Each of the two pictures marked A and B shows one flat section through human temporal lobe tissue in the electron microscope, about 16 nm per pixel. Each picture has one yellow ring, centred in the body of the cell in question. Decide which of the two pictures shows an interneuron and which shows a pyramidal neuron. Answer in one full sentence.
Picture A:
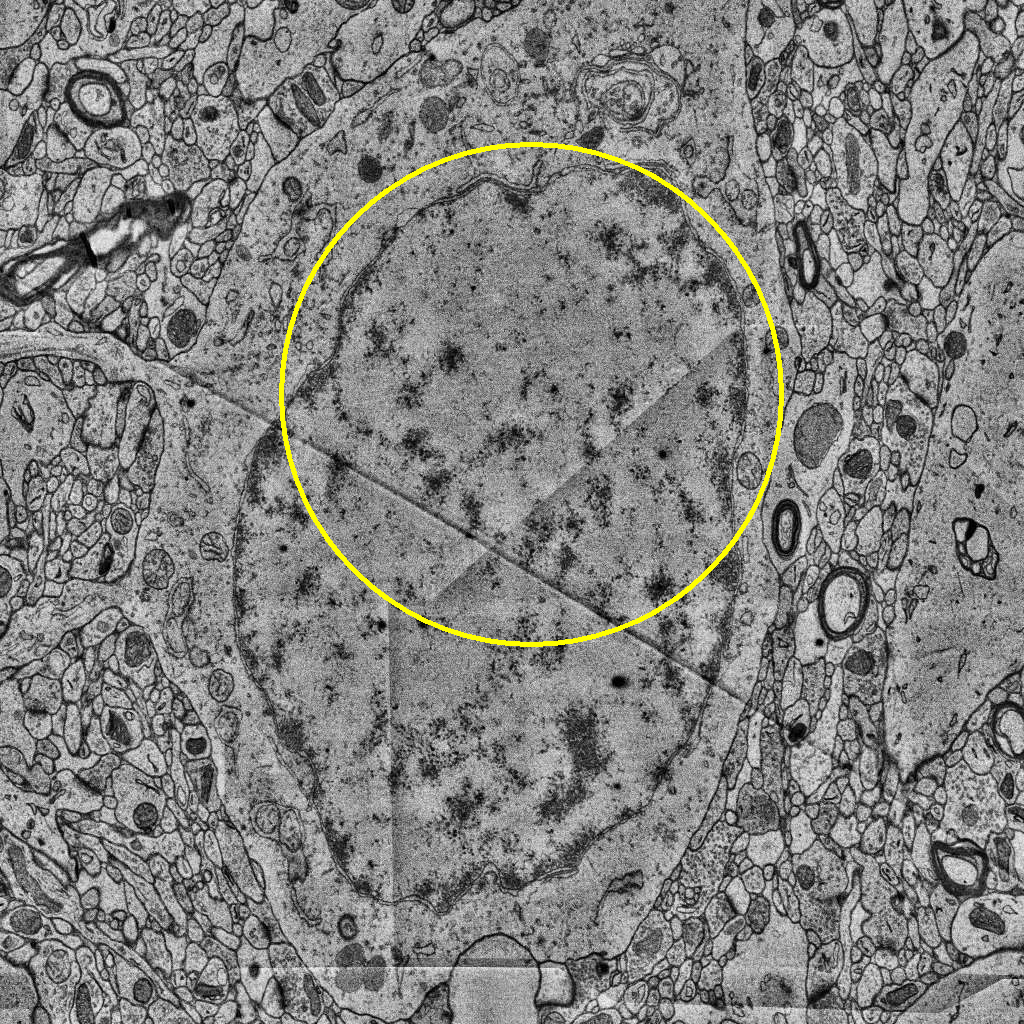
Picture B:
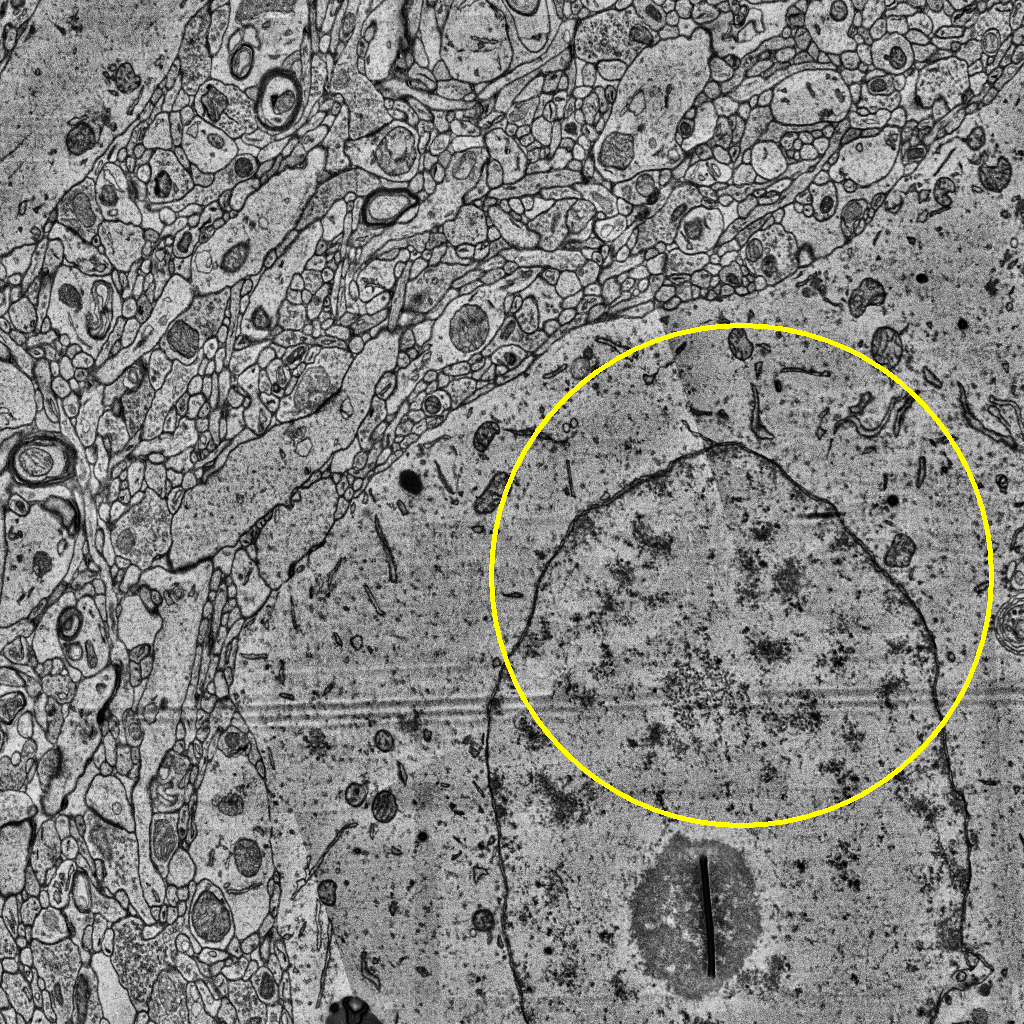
Picture B shows a pyramidal neuron, while picture A shows an interneuron.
